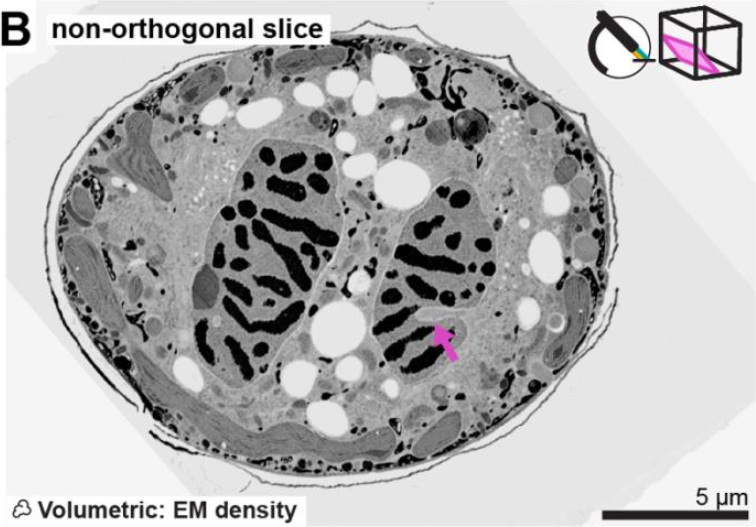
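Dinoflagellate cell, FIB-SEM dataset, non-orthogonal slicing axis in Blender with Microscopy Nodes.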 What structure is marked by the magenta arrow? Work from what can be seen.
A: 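The arrow points at a grey band crossing a nucleus filled with black rod-shaped masses. The grey band has the texture of the surrounding cytoplasm. The answer: nuclear tunnels.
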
